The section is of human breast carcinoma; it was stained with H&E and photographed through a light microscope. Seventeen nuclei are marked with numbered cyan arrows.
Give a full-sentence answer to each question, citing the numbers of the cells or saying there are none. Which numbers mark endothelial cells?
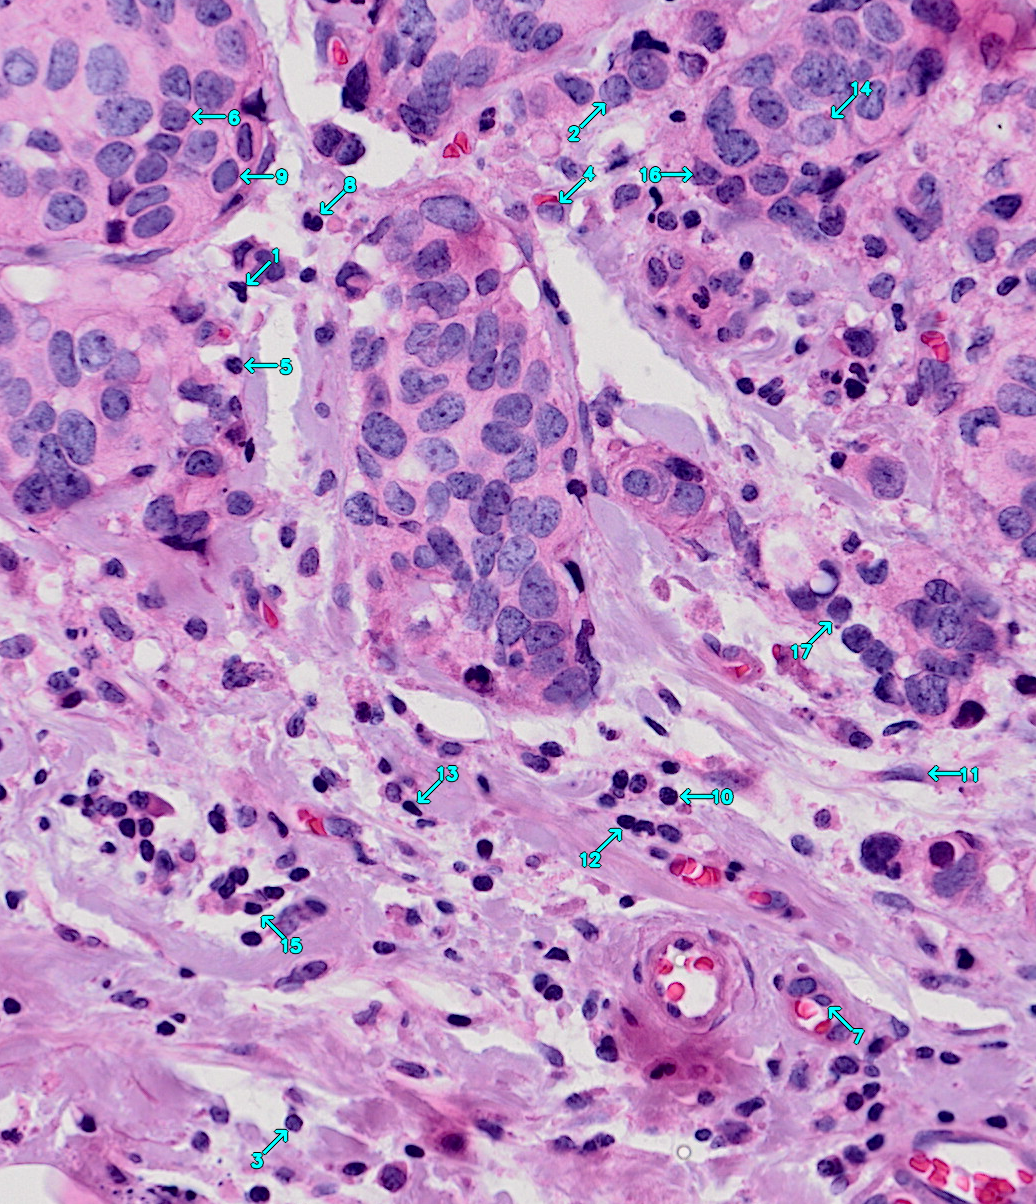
The numbers 4 and 7 refer to cells that are endothelial cells.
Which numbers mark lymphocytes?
The cells with labels 1, 3, 5, 8, 10, 12, 13 and 15 are lymphocytes.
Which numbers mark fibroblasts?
The nucleus numbered 11 is the only one that belongs to a fibroblast.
